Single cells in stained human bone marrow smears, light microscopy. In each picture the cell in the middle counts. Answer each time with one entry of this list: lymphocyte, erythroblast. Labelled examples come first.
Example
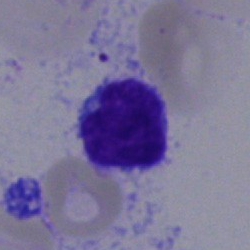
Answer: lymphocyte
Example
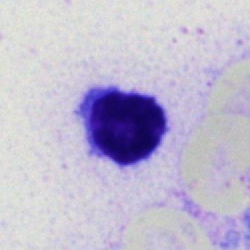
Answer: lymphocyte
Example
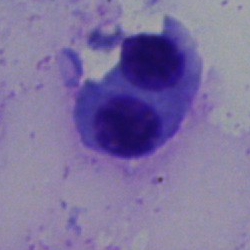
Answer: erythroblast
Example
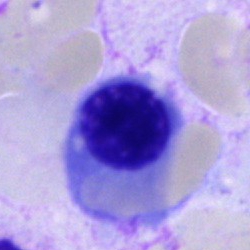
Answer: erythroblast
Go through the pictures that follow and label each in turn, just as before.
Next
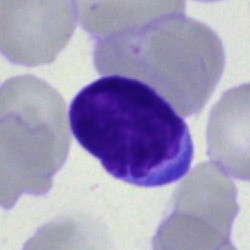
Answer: lymphocyte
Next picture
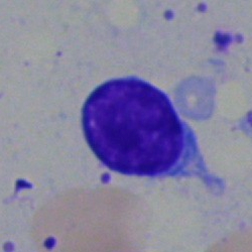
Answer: lymphocyte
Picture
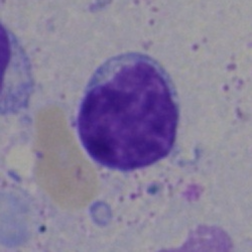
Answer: lymphocyte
